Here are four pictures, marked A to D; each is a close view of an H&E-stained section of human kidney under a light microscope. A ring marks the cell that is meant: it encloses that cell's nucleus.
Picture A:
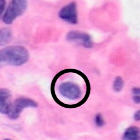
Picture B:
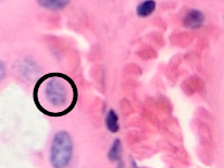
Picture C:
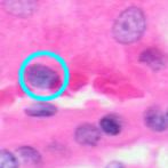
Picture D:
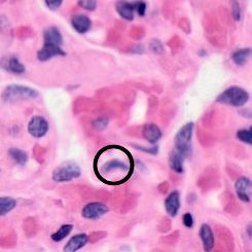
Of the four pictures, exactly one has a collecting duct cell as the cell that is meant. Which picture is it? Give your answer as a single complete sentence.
The collecting duct cell is the one in picture B.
